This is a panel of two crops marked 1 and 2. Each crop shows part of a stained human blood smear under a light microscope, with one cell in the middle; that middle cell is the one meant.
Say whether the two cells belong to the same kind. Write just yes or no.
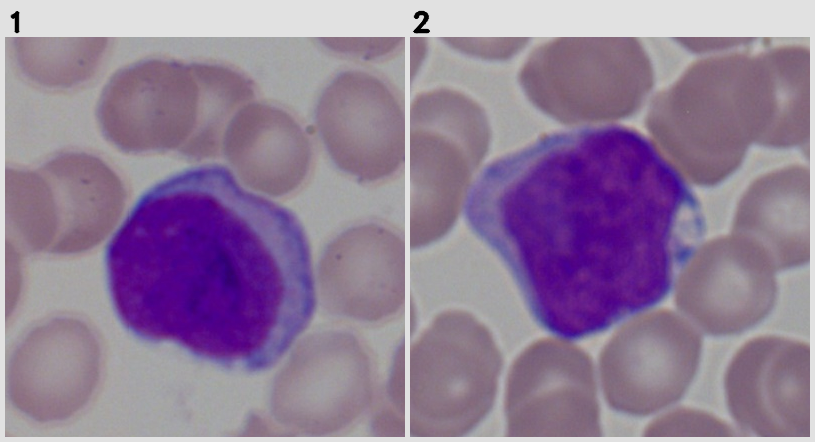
yes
